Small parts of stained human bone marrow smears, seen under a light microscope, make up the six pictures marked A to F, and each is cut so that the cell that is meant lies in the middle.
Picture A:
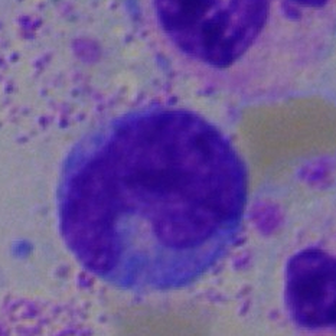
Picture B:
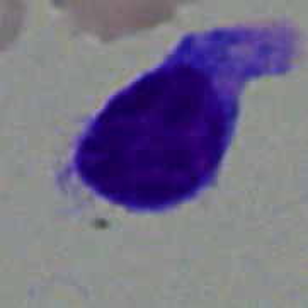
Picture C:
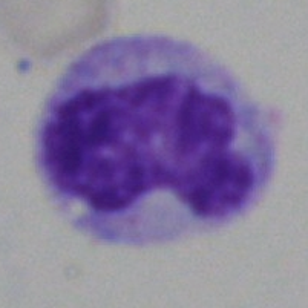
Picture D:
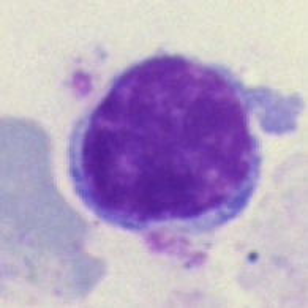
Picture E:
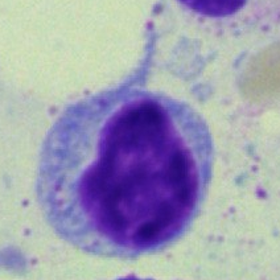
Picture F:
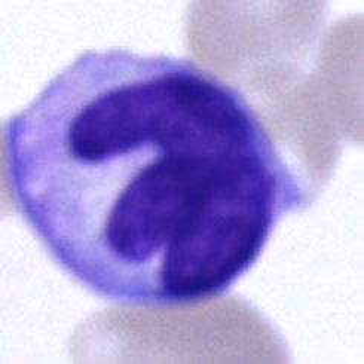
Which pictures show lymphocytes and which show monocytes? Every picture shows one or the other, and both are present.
A: monocyte
B: lymphocyte
C: monocyte
D: lymphocyte
E: lymphocyte
F: monocyte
